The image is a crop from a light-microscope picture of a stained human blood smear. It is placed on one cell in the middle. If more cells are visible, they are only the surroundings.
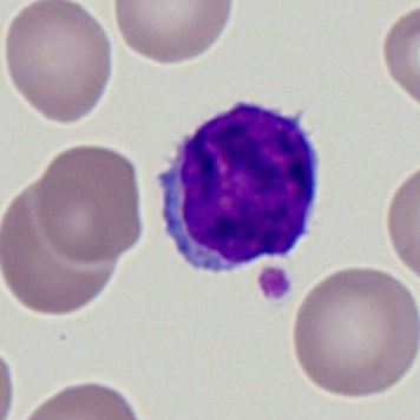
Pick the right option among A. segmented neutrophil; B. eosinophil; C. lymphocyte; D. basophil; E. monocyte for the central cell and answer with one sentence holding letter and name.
The correct response is option C, naming the cell in the middle as a lymphocyte.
